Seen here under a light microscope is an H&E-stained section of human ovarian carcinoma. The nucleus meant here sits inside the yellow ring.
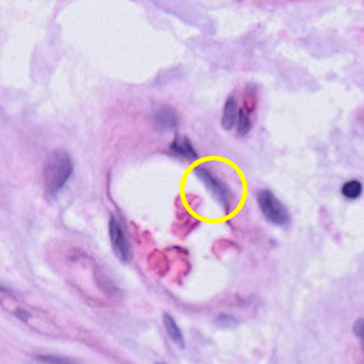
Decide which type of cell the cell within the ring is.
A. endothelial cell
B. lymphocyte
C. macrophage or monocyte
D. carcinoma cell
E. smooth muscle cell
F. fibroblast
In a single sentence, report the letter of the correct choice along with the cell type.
Identified correctly by option A, the cell within the ring is an endothelial cell.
